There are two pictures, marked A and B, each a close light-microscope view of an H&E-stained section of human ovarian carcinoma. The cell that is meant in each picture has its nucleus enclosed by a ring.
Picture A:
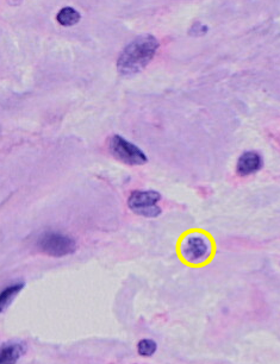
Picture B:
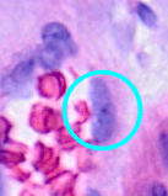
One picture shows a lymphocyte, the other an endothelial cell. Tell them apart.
A: lymphocyte
B: endothelial cell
